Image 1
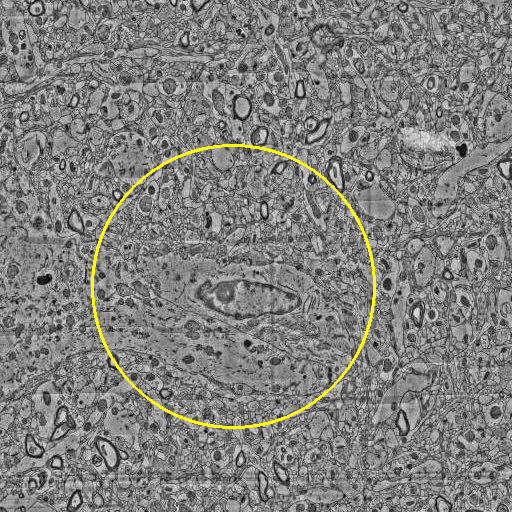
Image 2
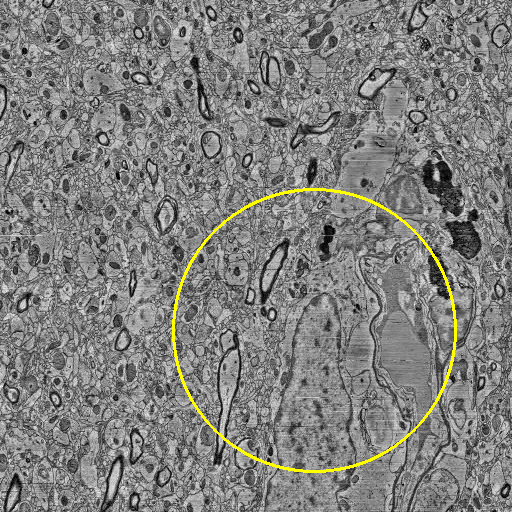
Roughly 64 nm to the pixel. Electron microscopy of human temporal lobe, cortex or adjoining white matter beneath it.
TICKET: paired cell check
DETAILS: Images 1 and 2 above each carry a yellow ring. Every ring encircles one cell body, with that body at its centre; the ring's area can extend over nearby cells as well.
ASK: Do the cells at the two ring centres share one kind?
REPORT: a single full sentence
Yes, the ring-centre cells of Images 1 and 2 belong to a single kind.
